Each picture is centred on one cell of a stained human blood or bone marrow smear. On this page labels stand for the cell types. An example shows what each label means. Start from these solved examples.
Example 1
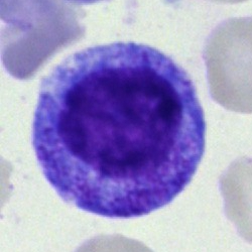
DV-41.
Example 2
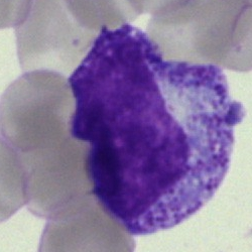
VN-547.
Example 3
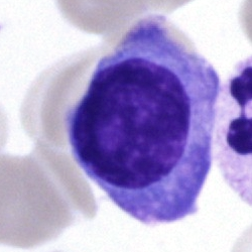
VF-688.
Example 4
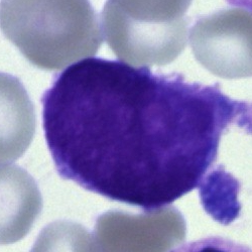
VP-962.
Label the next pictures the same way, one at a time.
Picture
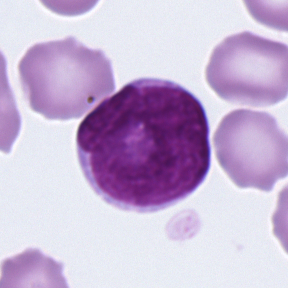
VP-962.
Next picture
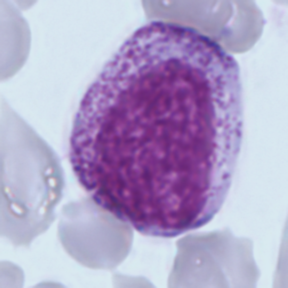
DV-41.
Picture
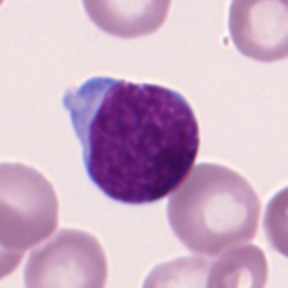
VP-962.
